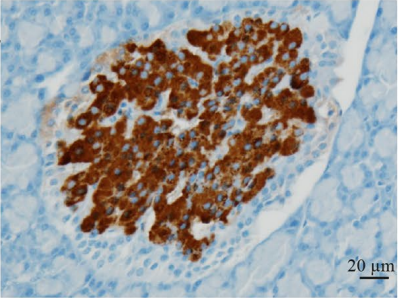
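A rounded pancreatic islet sits within the surrounding exocrine pancreas. Most islet cells have cytoplasm filled with dense brown stain, and their round nuclei stay blue and unstained. Around the islet, pale acinar units with basal blue nuclei make up the exocrine tissue, and a thin cleft runs along one edge.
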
